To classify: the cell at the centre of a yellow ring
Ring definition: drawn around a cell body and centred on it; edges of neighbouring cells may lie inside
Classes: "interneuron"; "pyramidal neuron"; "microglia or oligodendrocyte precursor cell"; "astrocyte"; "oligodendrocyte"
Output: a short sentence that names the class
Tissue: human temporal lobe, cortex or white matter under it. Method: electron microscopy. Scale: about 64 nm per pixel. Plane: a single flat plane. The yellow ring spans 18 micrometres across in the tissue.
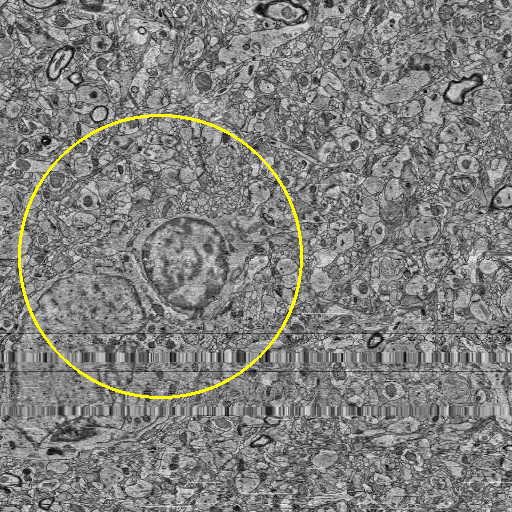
The ringed cell is an oligodendrocyte.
